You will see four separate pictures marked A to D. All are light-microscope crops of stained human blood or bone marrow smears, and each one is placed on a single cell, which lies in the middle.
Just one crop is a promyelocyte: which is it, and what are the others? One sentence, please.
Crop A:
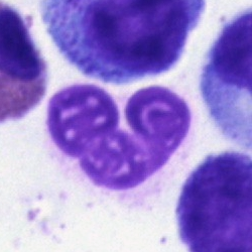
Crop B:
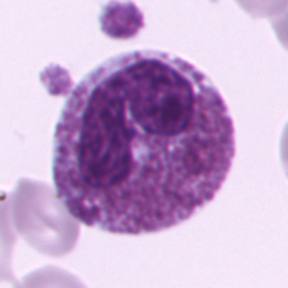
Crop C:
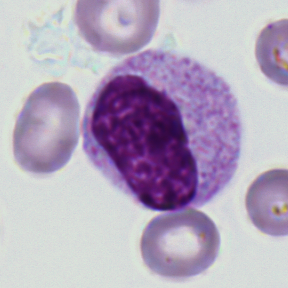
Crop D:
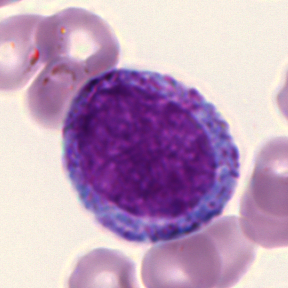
In crop D there is a promyelocyte, while crop A is a band neutrophil, crop B is an eosinophil and crop C is a metamyelocyte.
